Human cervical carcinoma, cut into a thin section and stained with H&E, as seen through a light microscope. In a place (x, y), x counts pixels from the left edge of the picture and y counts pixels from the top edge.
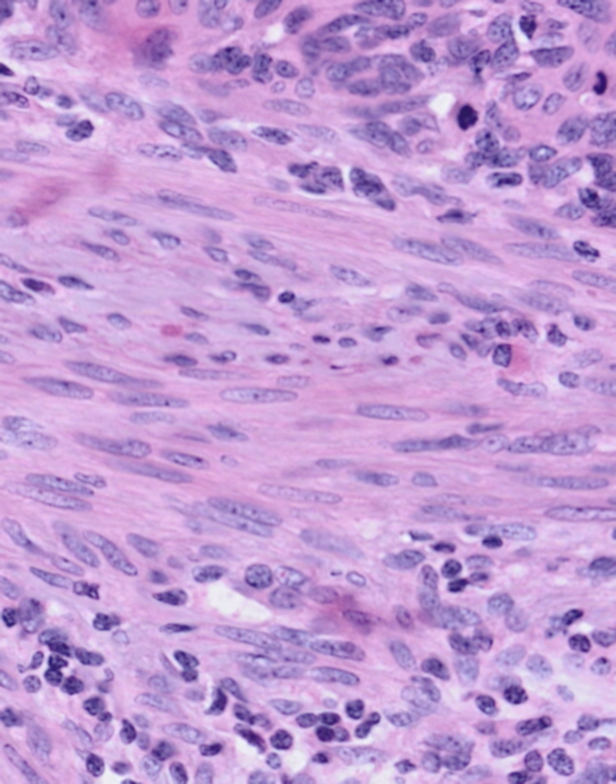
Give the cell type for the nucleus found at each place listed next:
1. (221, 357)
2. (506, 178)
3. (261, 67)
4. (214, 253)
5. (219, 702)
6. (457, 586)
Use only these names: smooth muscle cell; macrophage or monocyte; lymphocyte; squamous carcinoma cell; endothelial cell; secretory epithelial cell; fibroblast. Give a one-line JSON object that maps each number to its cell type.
{"1": "smooth muscle cell", "2": "lymphocyte", "3": "squamous carcinoma cell", "4": "smooth muscle cell", "5": "lymphocyte", "6": "lymphocyte"}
